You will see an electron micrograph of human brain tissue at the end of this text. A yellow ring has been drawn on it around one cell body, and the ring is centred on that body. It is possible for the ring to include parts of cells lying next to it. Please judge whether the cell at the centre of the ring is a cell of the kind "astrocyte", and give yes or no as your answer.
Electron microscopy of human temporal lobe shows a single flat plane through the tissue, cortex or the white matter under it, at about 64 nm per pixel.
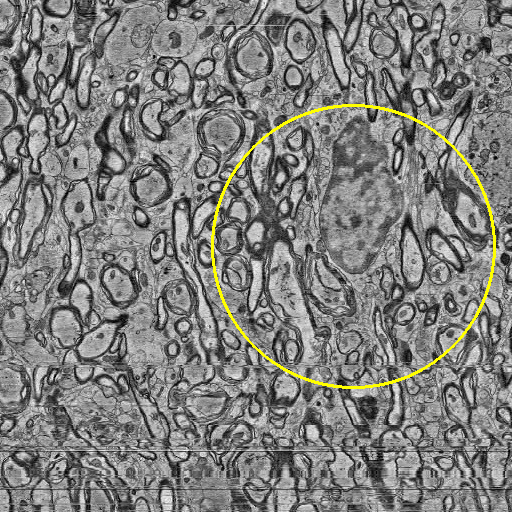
no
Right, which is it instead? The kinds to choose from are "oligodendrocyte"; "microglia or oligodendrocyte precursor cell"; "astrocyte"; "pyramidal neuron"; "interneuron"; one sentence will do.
The correct answer is that the cell is a microglial cell or oligodendrocyte precursor cell.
